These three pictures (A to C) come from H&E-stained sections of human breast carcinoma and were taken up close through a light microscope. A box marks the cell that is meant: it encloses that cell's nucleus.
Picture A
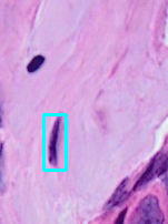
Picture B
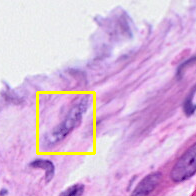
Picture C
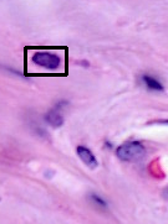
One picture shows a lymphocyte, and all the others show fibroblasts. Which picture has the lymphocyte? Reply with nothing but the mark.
C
